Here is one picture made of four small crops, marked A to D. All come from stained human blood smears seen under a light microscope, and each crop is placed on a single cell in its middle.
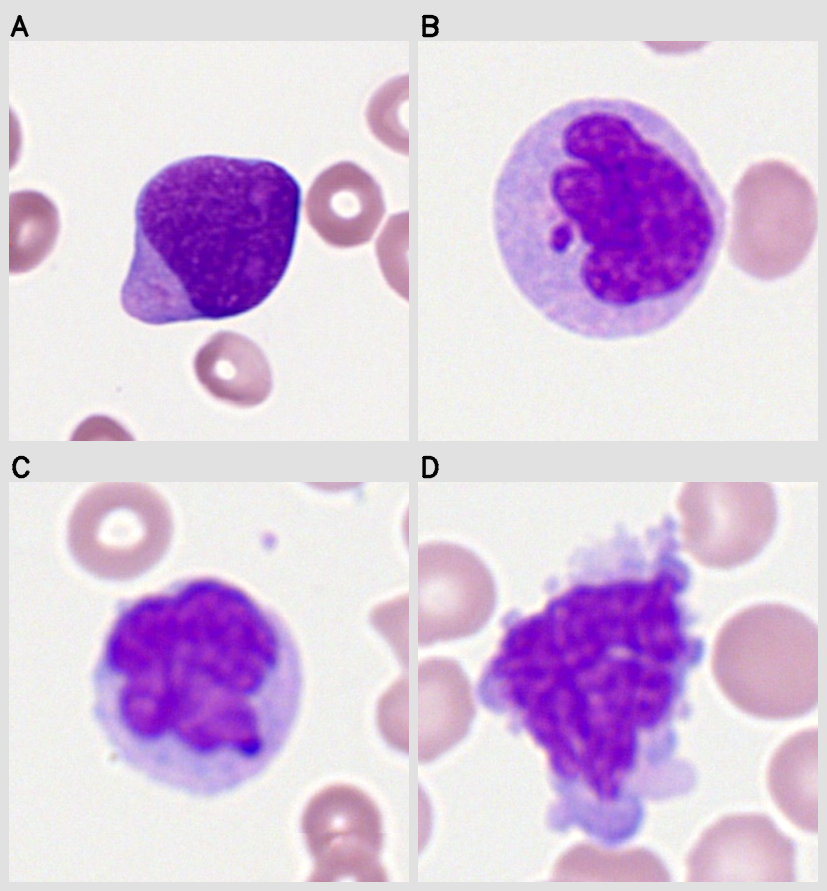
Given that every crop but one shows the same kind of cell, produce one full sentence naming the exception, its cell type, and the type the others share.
Unlike the other crops, all showing monocytes, crop A is a myeloblast.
